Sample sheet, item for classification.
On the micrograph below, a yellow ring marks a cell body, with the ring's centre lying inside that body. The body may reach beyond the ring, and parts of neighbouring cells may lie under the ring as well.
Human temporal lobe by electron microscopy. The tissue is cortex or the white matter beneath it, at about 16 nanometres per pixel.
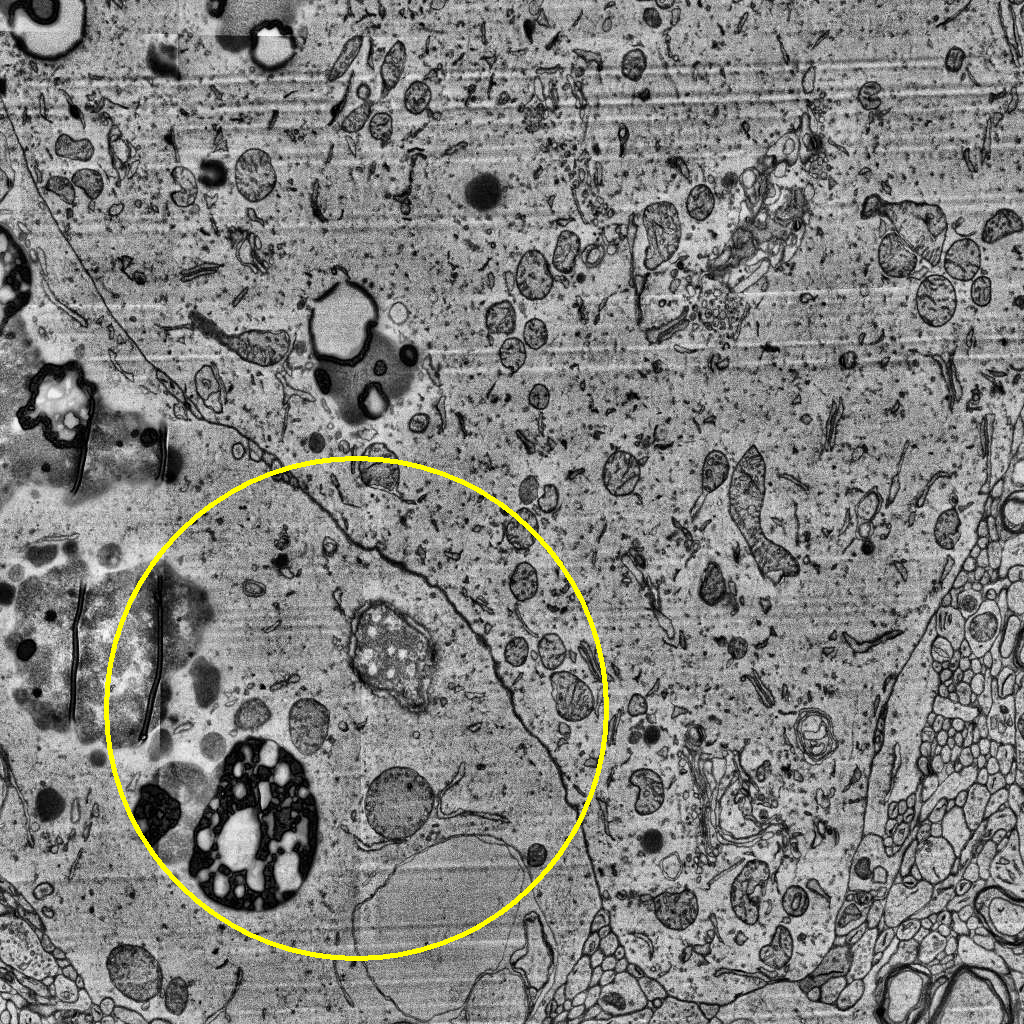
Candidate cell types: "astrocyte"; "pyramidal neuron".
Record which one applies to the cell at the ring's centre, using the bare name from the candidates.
astrocyte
